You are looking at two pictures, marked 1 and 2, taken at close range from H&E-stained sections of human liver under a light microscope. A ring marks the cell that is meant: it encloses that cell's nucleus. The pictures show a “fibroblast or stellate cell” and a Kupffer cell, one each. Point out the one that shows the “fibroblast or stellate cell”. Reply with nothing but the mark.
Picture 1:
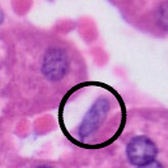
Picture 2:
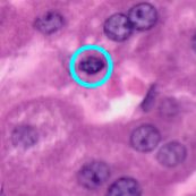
2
